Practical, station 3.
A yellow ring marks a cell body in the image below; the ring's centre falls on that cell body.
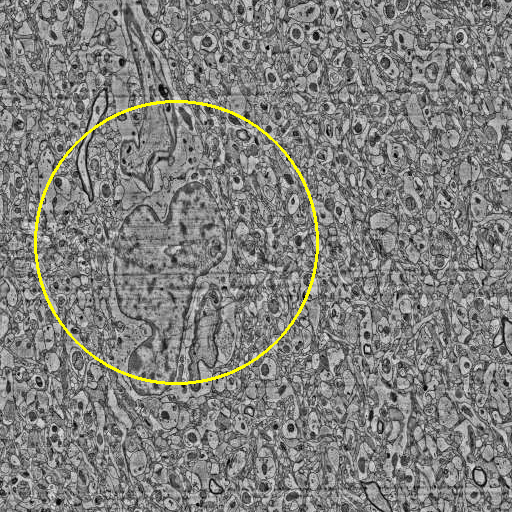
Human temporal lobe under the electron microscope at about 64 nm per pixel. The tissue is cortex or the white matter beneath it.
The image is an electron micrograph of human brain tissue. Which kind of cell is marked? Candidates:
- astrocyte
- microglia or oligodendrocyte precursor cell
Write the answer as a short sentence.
The marked cell body is that of a microglial cell or oligodendrocyte precursor cell.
